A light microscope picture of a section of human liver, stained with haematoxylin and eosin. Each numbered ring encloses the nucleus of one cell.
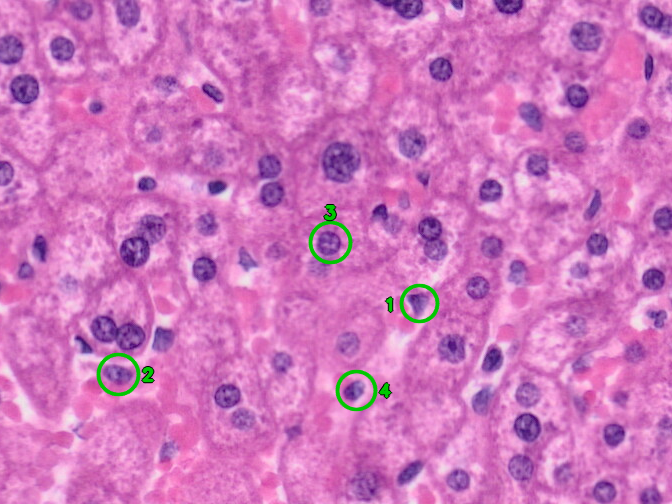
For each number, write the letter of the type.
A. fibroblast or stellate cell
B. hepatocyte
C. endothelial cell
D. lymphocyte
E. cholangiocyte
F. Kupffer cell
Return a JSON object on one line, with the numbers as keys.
{"1": "C", "2": "F", "3": "B", "4": "D"}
